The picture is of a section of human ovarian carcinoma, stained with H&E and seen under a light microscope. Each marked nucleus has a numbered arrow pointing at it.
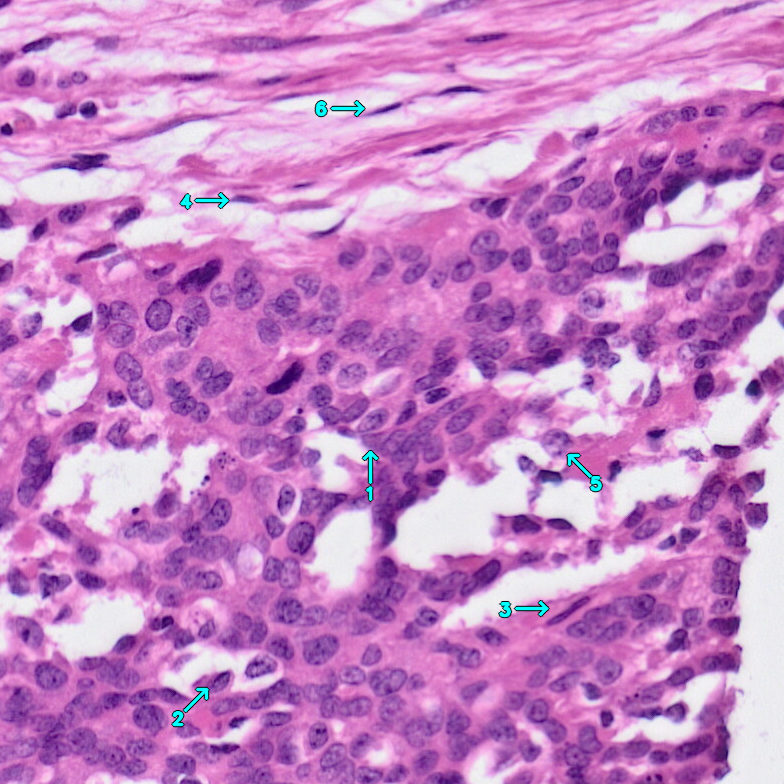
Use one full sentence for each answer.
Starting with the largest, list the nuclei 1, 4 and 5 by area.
Largest first, the order by area is 5, 1, 4.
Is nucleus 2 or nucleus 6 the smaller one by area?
With nucleus 2 about 2 times its size, nucleus 6 is the smaller of the two.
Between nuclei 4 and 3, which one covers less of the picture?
The smaller nucleus is 4, and 3 covers roughly 1.5 times its area.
